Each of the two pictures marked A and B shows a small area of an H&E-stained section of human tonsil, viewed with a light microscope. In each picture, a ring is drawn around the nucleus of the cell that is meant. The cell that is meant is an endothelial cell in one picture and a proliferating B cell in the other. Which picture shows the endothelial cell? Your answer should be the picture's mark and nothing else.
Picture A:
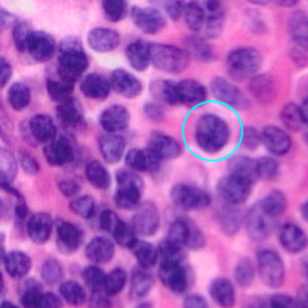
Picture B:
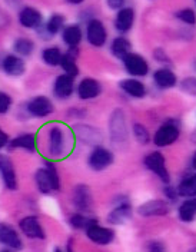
B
